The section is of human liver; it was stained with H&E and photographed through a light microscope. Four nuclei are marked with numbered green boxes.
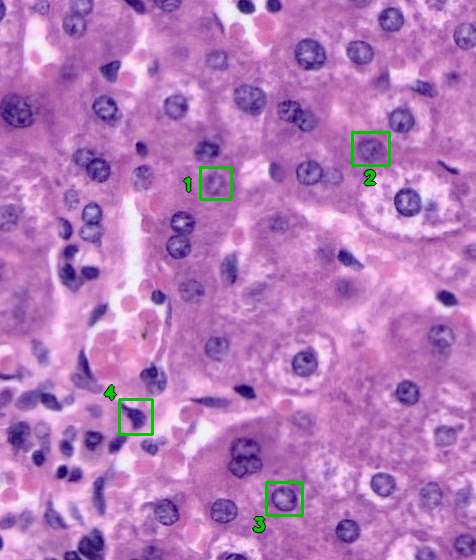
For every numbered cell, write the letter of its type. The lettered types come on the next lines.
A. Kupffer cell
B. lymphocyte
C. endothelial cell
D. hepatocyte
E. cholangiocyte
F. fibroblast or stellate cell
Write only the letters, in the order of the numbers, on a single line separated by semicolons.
D; D; D; F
